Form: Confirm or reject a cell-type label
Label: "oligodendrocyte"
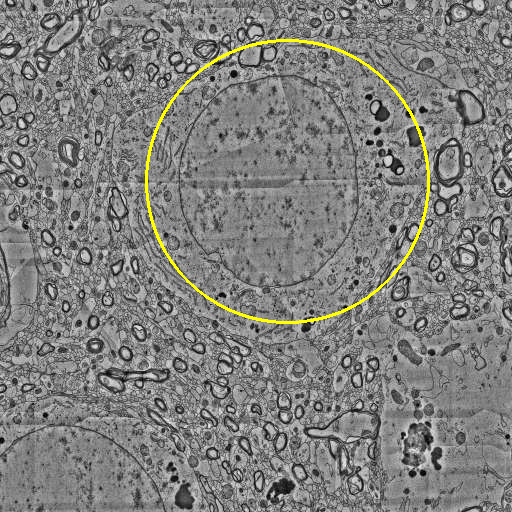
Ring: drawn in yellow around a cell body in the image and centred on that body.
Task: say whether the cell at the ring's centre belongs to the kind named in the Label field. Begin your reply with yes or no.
No, it belongs to another kind.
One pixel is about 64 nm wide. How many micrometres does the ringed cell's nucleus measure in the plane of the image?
The nucleus appears about 13 micrometres across in this plane.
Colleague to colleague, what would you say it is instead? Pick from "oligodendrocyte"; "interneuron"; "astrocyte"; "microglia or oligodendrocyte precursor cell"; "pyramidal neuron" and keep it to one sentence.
Instead, the ringed cell here is a pyramidal neuron.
